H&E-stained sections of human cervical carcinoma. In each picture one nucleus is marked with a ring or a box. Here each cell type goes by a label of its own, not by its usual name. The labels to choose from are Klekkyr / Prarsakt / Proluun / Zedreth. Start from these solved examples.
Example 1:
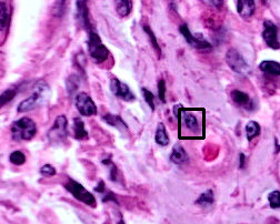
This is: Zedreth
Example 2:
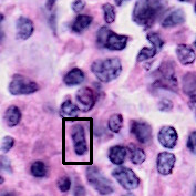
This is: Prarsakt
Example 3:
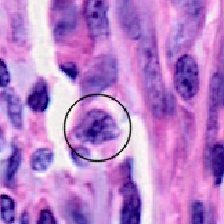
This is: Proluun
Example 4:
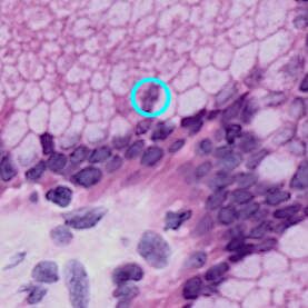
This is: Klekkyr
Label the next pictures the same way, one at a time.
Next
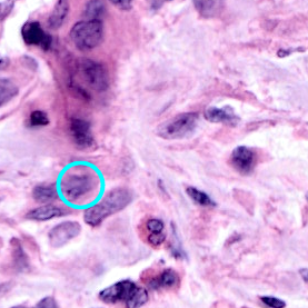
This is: Zedreth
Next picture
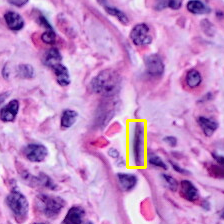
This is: Zedreth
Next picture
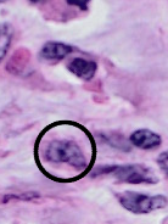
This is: Proluun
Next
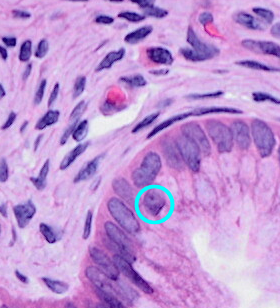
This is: Klekkyr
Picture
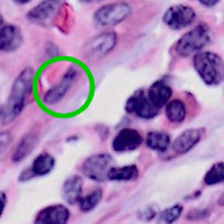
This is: Zedreth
